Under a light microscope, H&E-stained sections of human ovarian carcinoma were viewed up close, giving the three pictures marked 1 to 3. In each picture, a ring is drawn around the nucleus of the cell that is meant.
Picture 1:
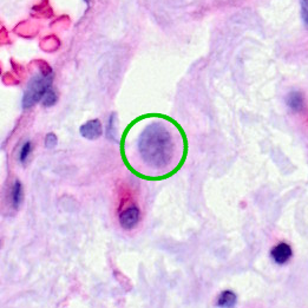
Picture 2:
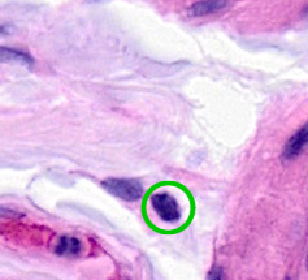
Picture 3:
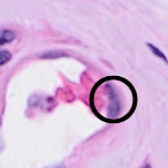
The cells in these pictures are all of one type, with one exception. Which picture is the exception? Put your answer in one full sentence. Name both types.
The others show endothelial cells, but picture 2 shows a lymphocyte.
